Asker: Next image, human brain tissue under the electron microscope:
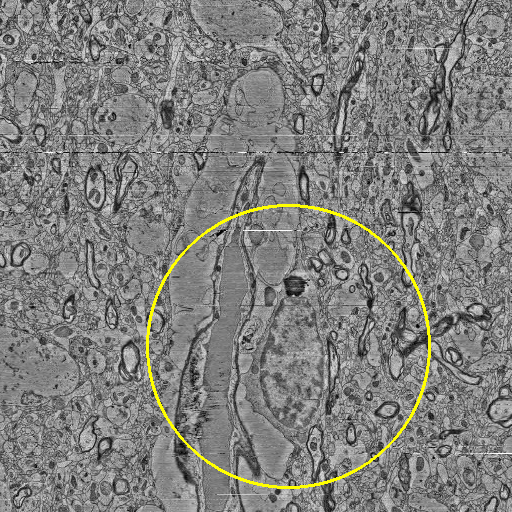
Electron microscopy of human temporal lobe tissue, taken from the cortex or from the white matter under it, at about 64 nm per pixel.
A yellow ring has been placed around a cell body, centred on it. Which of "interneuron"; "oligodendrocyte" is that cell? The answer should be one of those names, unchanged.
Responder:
oligodendrocyte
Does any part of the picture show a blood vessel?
Yes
